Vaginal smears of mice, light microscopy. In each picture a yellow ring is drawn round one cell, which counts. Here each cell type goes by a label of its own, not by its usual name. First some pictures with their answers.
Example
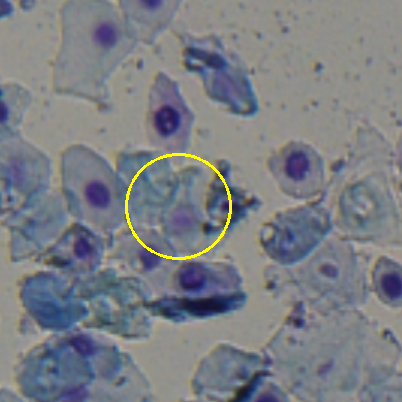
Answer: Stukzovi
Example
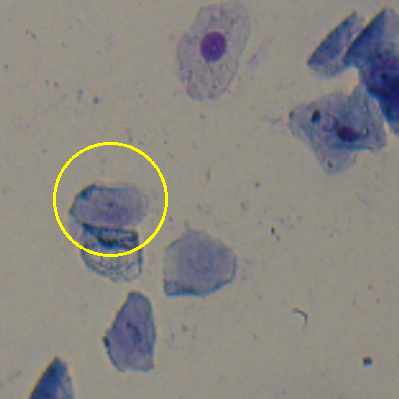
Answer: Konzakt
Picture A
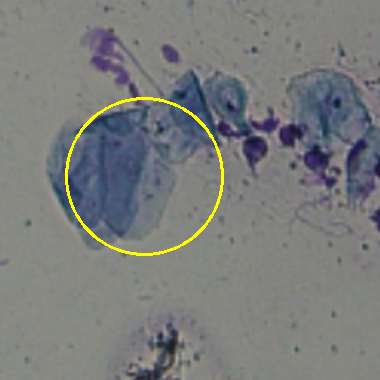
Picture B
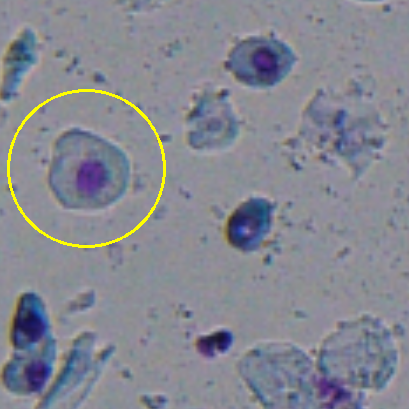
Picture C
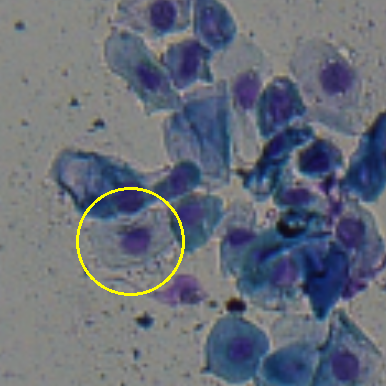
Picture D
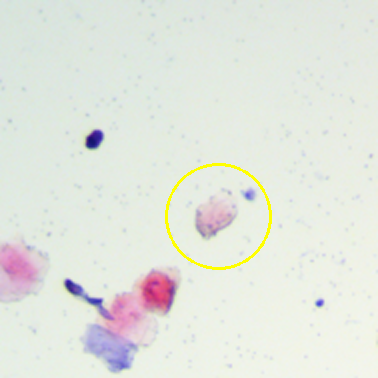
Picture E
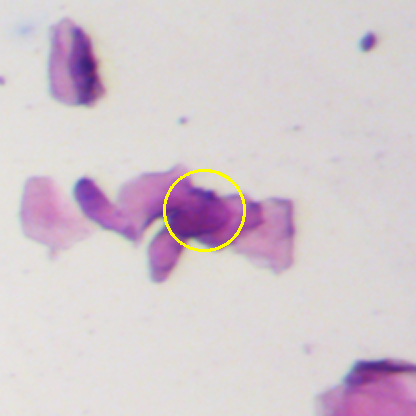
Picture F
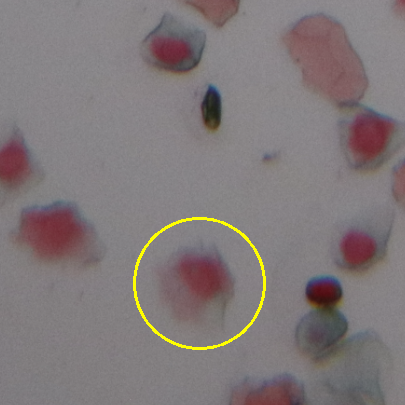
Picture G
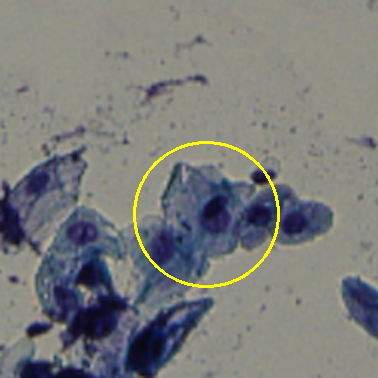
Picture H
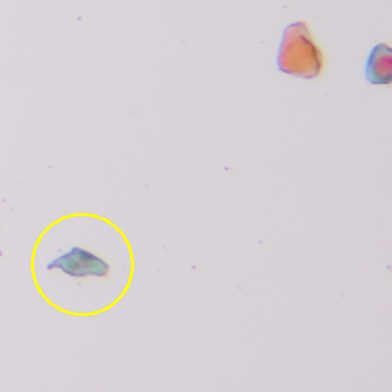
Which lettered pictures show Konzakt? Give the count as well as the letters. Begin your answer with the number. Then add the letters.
4, namely A, D, E, H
